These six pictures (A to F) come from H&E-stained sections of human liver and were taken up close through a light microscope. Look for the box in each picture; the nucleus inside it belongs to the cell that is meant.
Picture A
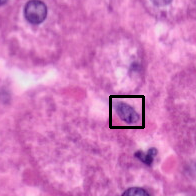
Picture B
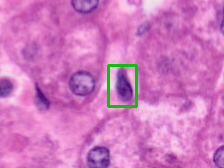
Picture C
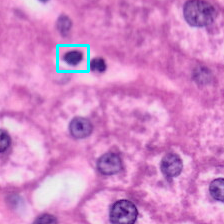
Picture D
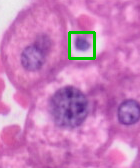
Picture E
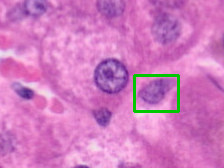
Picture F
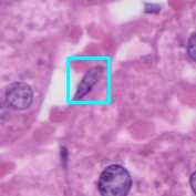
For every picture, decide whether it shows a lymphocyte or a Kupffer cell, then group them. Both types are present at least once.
A: Kupffer cell
B: Kupffer cell
C: lymphocyte
D: lymphocyte
E: Kupffer cell
F: Kupffer cell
